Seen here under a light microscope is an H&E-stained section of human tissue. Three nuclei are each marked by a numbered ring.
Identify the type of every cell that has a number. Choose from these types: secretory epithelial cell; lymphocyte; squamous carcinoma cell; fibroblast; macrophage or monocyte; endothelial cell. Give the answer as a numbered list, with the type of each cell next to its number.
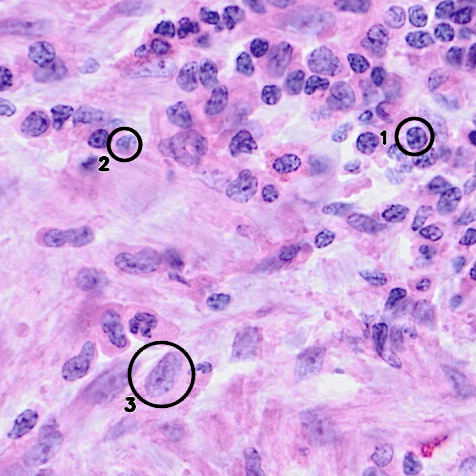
1. lymphocyte
2. lymphocyte
3. fibroblast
